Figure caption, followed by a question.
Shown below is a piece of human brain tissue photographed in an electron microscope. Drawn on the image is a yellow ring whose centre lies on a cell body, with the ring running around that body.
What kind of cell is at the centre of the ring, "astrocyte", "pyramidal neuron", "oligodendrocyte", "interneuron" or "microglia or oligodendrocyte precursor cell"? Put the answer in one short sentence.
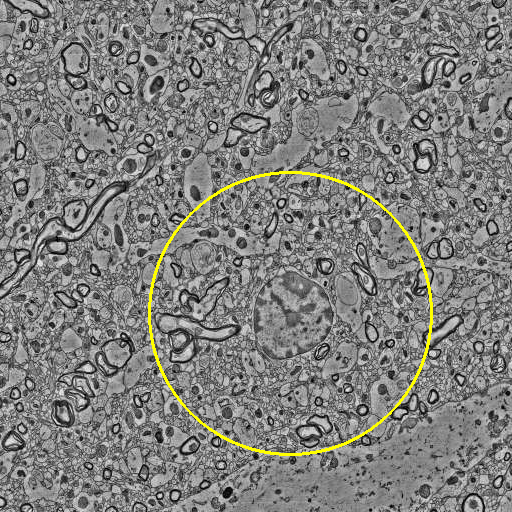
The ring marks the cell body of a microglial cell or oligodendrocyte precursor cell.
